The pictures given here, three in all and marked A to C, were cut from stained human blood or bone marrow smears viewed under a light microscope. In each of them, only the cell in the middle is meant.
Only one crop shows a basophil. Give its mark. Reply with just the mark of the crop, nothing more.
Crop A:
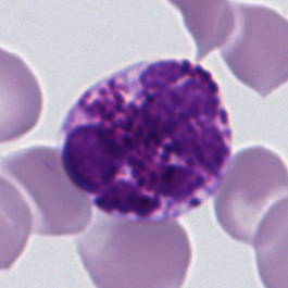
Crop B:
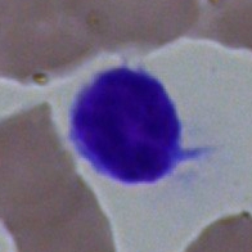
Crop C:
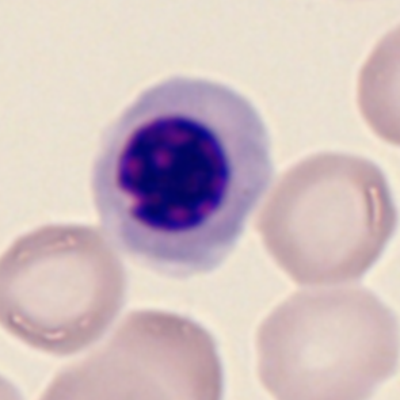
A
